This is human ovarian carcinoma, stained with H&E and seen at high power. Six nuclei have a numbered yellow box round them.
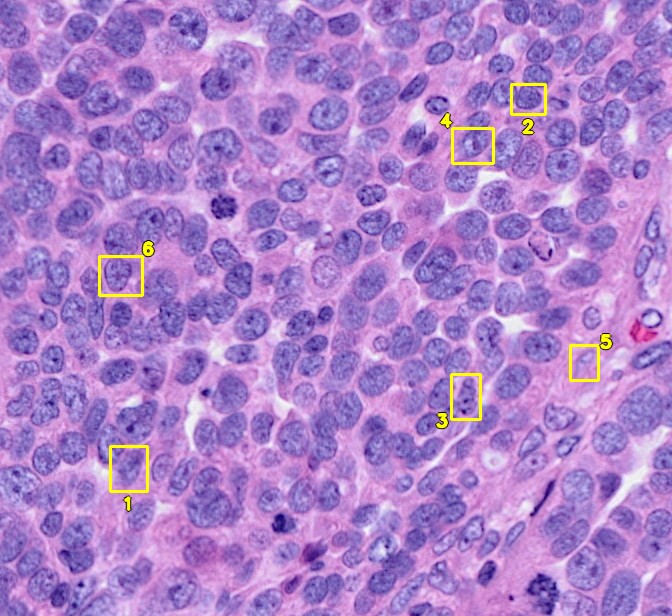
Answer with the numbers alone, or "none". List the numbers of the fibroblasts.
5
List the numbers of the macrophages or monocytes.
3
